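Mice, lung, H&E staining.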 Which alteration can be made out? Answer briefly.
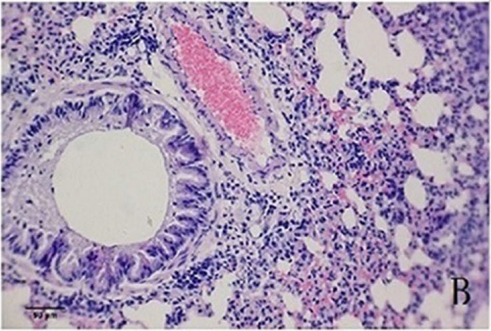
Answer: Peribronchial inflammatory infiltrate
